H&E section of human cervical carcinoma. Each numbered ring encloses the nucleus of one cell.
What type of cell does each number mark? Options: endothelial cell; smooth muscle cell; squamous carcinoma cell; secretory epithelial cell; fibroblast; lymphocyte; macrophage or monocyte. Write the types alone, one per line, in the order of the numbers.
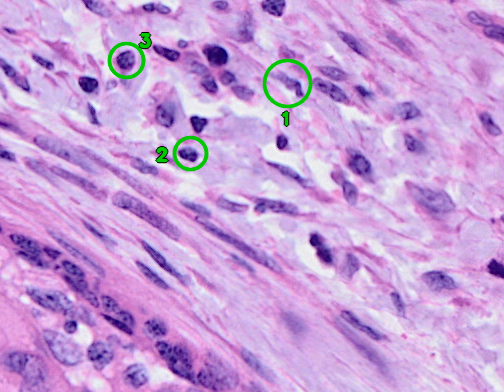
fibroblast
lymphocyte
lymphocyte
